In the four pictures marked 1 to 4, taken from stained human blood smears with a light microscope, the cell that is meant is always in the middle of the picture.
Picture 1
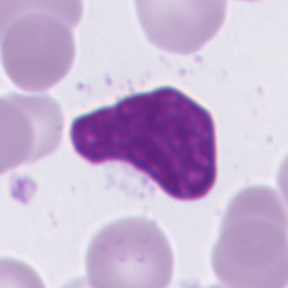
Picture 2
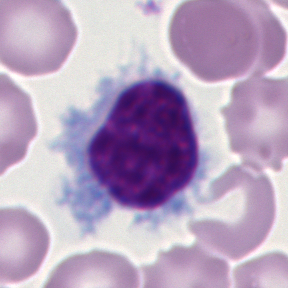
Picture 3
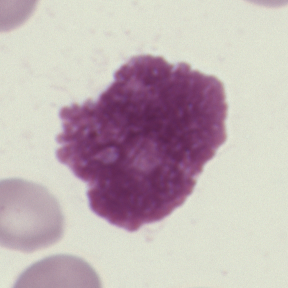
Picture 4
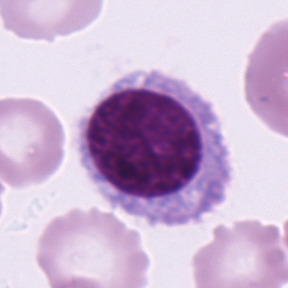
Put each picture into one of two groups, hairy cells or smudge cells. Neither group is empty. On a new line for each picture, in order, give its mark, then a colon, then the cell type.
1: smudge cell
2: hairy cell
3: smudge cell
4: hairy cell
